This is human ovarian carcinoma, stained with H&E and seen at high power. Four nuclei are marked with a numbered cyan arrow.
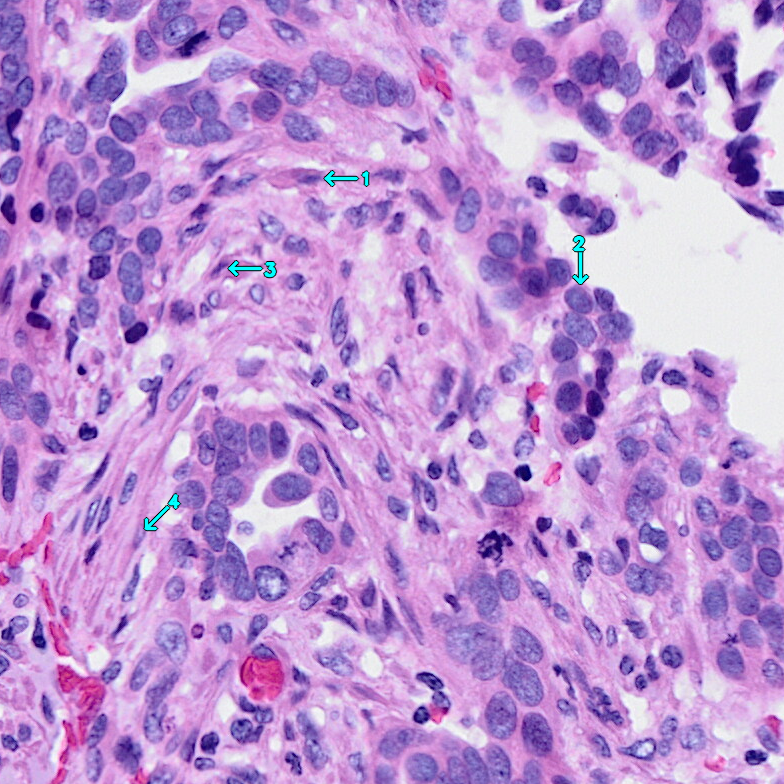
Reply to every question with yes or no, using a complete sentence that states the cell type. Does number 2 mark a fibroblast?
No, the right label for cell 2 is a carcinoma cell rather than a fibroblast.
